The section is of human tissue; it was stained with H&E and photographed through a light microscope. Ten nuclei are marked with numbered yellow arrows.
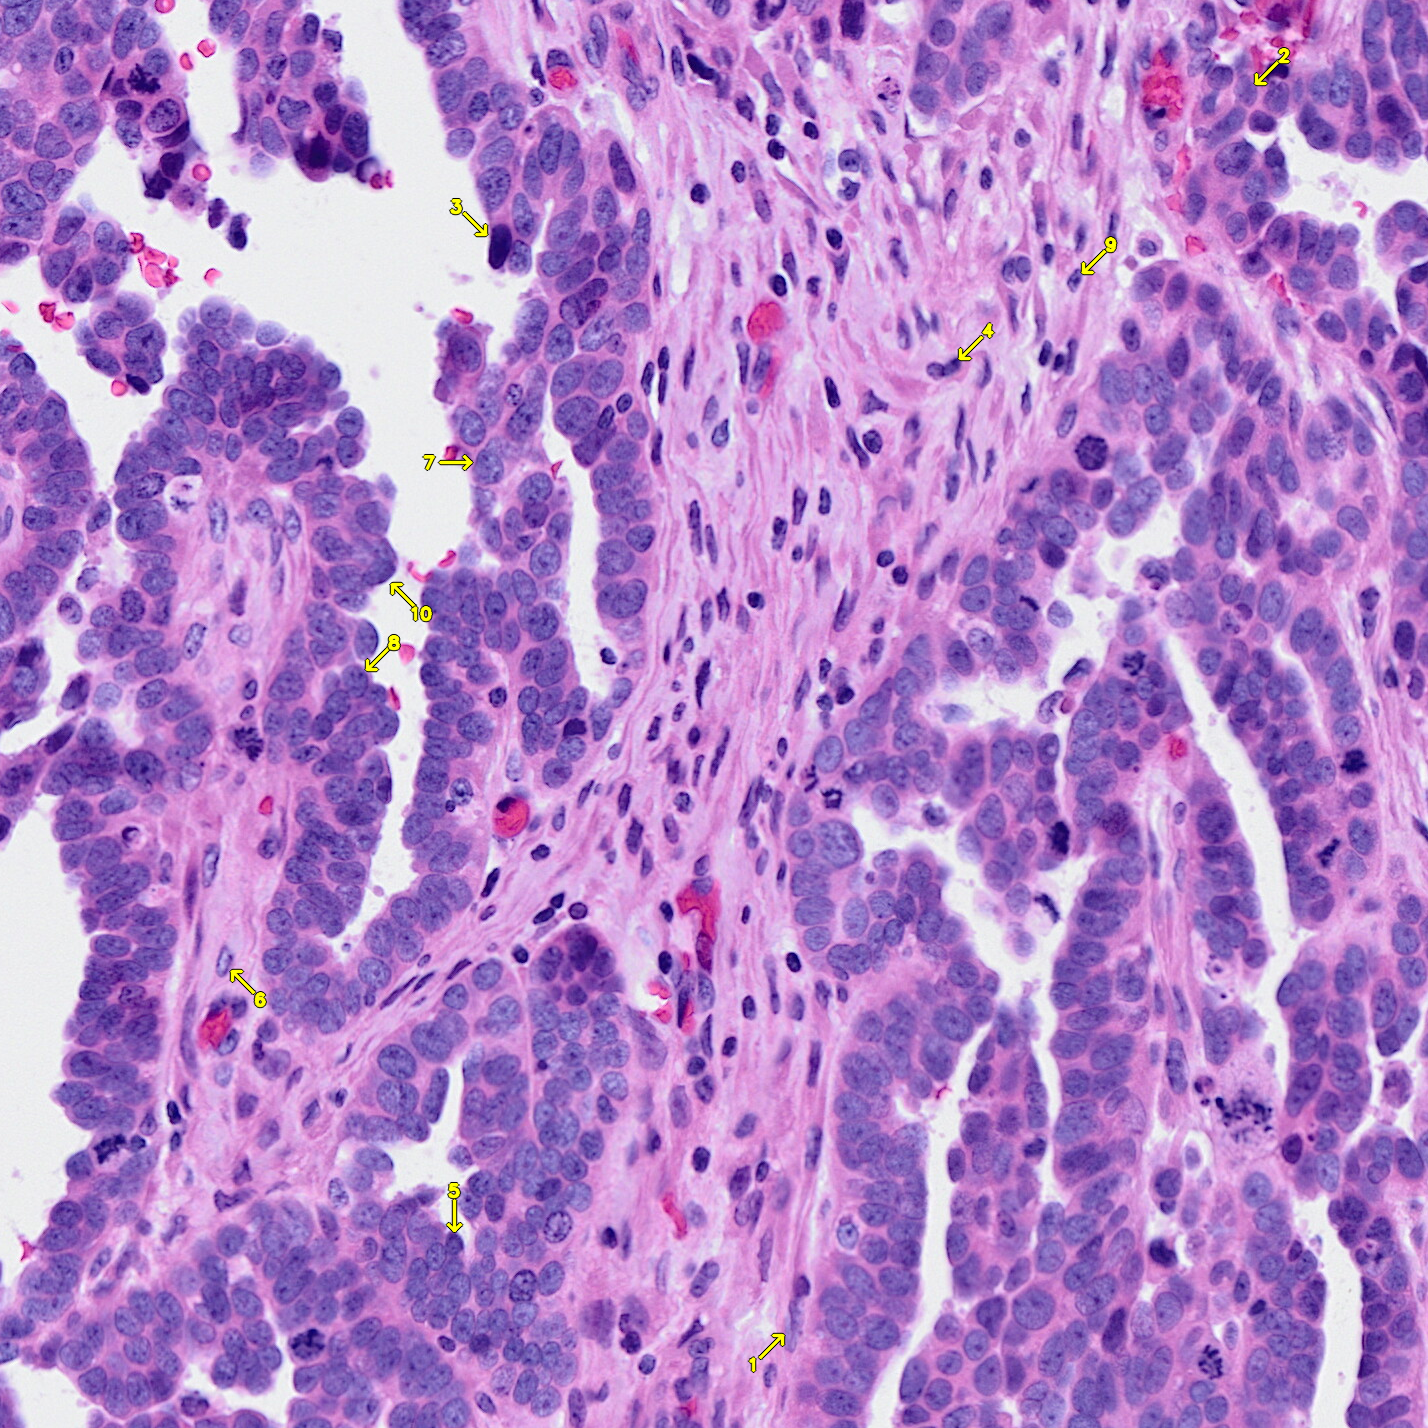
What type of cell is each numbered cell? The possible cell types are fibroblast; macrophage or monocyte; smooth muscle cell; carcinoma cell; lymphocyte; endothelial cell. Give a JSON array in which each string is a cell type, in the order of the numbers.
["fibroblast", "carcinoma cell", "carcinoma cell", "lymphocyte", "carcinoma cell", "fibroblast", "carcinoma cell", "carcinoma cell", "lymphocyte", "carcinoma cell"]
